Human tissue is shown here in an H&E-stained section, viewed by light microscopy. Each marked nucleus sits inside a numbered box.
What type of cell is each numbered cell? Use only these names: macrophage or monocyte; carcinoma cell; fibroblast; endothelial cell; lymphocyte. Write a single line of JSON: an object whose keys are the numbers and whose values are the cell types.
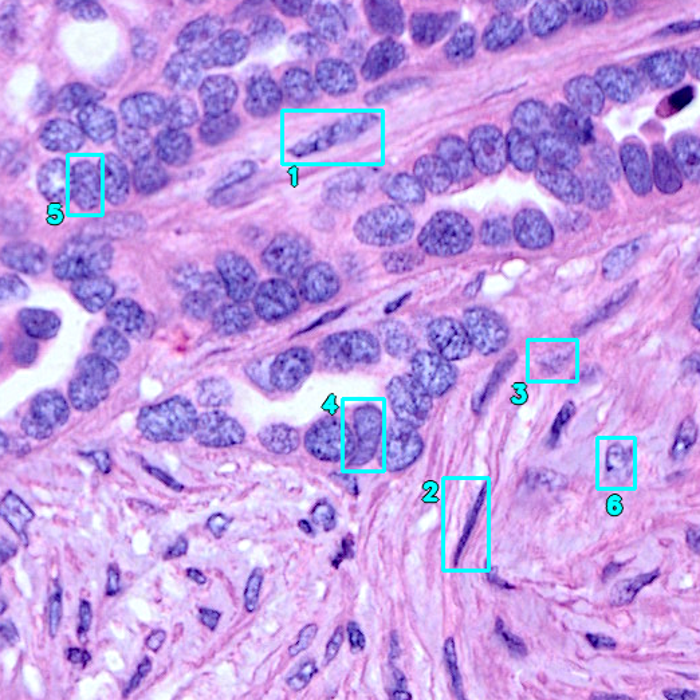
{"1": "fibroblast", "2": "fibroblast", "3": "fibroblast", "4": "carcinoma cell", "5": "carcinoma cell", "6": "fibroblast"}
